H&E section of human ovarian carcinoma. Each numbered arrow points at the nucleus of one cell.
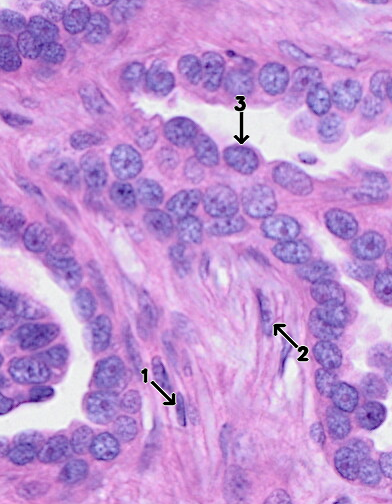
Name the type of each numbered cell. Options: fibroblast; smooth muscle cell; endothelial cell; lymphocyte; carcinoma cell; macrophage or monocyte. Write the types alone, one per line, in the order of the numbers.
fibroblast
fibroblast
carcinoma cell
